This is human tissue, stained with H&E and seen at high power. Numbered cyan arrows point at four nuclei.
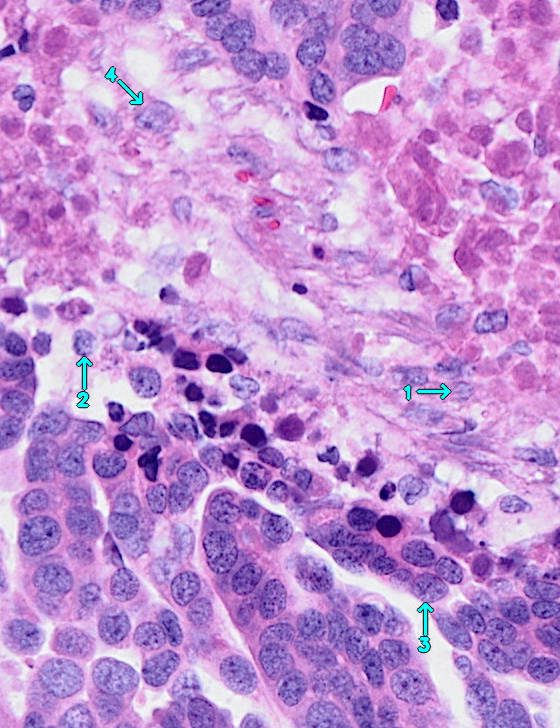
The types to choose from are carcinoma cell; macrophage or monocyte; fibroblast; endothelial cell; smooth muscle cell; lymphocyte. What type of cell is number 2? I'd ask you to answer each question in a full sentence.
The expected answer is that cell 2 is a macrophage or monocyte.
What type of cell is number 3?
The cell that is numbered 3 is a carcinoma cell.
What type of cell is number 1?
The cell pointed out as number 1 is a fibroblast.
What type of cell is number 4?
In the marked set, the cell given number 4 is a fibroblast.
